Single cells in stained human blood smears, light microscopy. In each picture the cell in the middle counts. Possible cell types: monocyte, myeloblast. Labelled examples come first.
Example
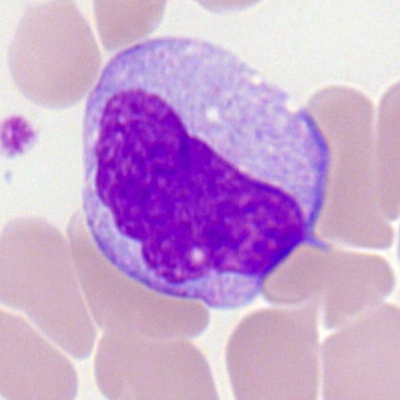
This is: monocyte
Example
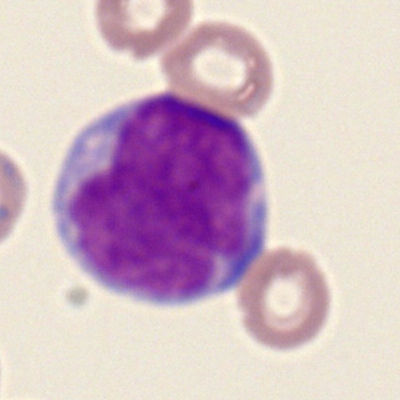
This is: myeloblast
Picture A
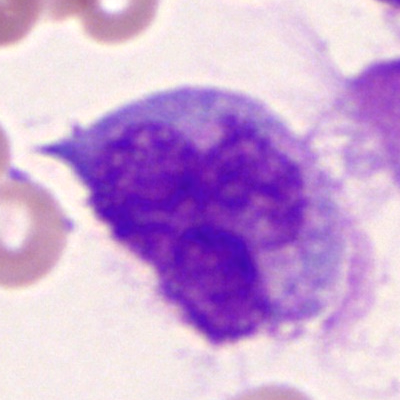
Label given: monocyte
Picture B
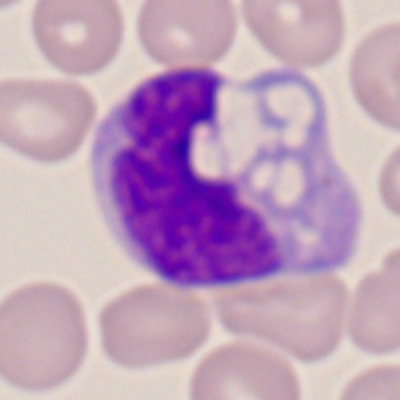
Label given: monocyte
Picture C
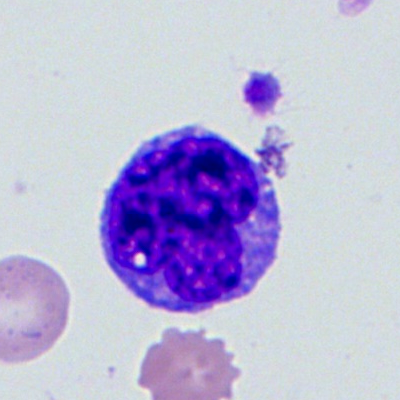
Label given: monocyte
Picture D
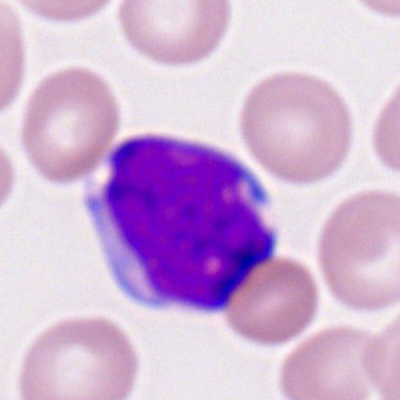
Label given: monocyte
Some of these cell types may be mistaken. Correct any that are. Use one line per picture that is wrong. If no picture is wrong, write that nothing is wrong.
Wrong: D (monocyte); correct: myeloblast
